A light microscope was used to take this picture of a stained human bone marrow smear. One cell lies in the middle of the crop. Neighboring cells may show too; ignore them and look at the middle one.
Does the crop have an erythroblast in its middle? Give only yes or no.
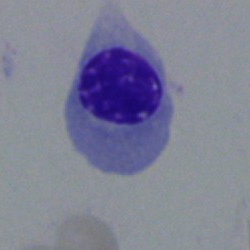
yes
